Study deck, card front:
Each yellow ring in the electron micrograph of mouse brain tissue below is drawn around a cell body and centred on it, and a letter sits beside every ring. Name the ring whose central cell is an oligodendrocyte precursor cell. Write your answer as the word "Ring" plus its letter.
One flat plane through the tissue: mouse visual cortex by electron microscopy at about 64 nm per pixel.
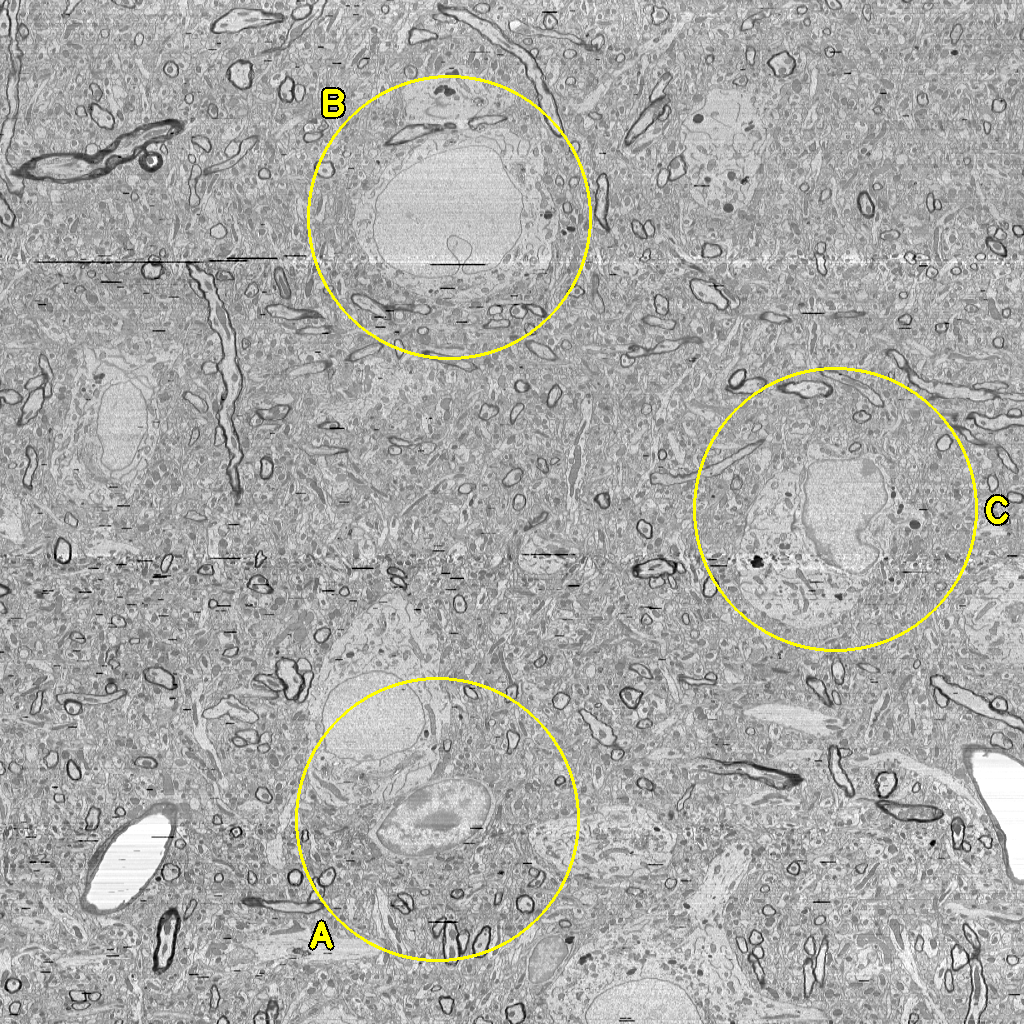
Ring C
